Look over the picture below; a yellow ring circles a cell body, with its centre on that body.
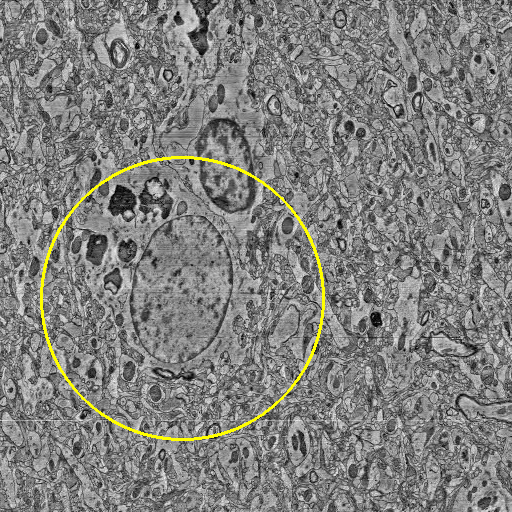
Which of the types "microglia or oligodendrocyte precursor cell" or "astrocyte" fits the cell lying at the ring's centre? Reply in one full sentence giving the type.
The picture shows an astrocyte at the centre of the yellow ring.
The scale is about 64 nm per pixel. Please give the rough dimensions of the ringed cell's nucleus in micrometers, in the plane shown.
Roughly 10 micrometres by 6 micrometres, so the nucleus is clearly longer than it is wide in this plane.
